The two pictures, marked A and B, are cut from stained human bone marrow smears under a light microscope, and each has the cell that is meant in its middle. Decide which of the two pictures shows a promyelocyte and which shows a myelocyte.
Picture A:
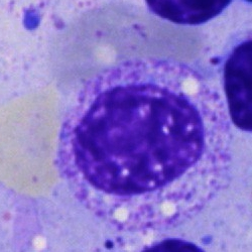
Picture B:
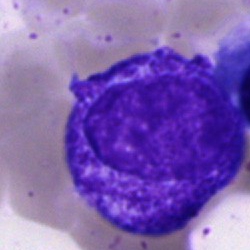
A: myelocyte
B: promyelocyte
